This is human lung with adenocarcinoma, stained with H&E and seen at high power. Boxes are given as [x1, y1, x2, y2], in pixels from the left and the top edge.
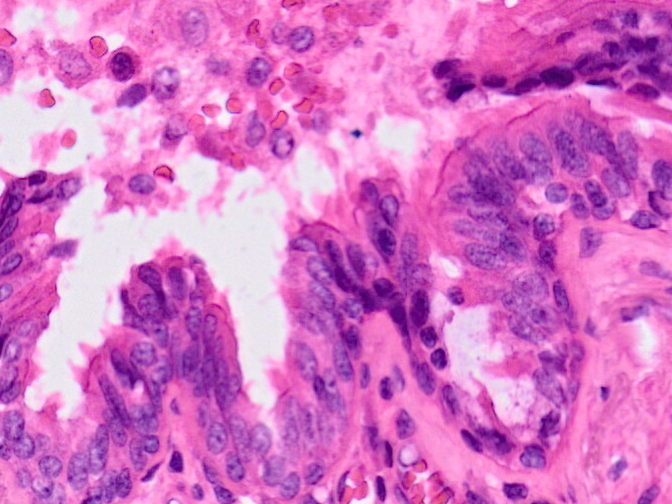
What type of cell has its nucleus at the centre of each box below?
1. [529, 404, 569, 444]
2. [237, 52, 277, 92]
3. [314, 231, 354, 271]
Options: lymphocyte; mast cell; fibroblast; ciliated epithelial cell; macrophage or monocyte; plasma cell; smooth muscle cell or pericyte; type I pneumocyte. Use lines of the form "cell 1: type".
cell 1: ciliated epithelial cell
cell 2: macrophage or monocyte
cell 3: ciliated epithelial cell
